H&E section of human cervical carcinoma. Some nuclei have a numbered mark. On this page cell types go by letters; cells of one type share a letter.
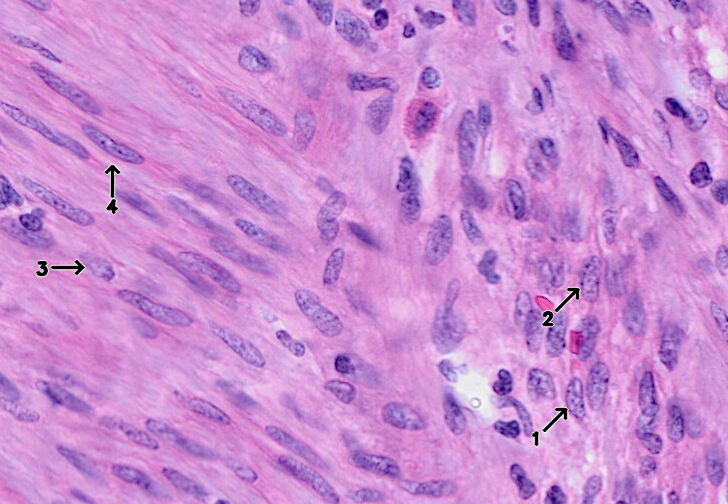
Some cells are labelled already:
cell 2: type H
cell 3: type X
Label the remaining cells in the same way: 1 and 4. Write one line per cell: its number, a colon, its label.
1: type H
4: type X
